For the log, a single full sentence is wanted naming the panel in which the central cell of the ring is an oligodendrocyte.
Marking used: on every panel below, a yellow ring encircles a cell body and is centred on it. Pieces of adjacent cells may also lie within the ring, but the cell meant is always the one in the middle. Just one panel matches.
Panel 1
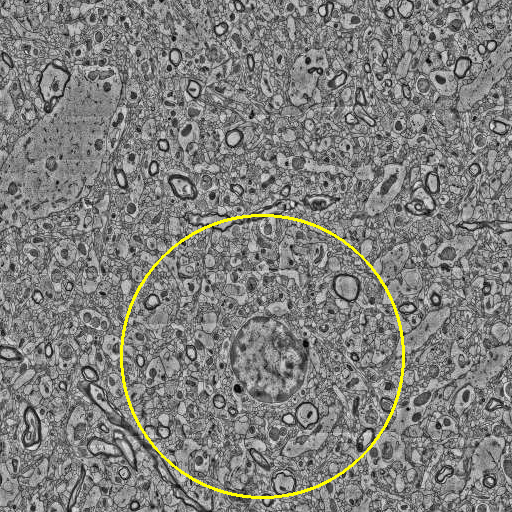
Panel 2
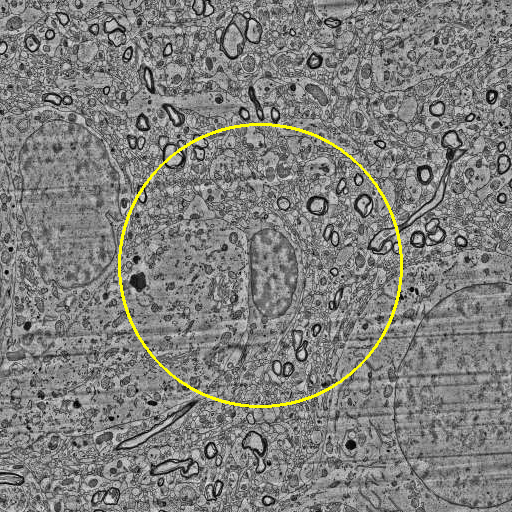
The cell in the middle of the ring in panel 2 is the one asked for.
